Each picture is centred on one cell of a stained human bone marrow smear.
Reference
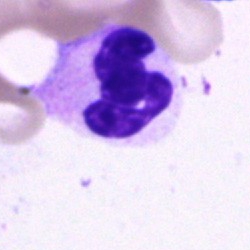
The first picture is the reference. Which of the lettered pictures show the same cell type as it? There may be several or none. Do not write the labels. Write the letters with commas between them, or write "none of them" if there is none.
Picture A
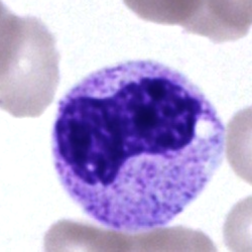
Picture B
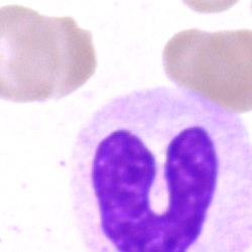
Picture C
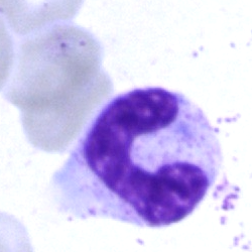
none of them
